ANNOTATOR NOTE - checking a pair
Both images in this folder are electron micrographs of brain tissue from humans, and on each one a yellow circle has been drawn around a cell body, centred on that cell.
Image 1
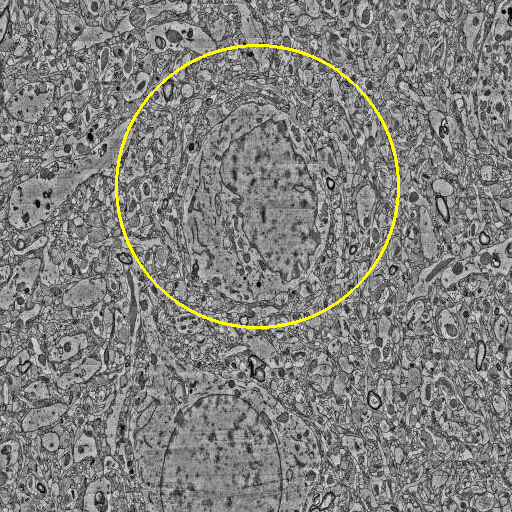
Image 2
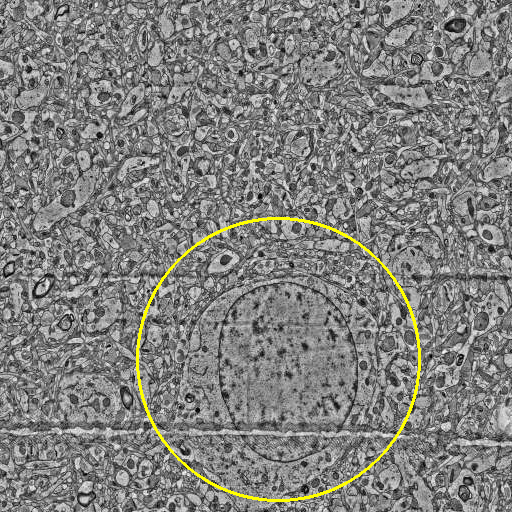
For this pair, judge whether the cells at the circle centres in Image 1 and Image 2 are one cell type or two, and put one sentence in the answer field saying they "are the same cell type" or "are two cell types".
For this pair, the cells at the circle centres in Images 1 and 2 are two cell types.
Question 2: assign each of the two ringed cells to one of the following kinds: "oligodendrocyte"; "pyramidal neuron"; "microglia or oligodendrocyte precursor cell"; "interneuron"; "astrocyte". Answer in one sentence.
The two cells are an interneuron in the first picture and a pyramidal neuron in the second.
